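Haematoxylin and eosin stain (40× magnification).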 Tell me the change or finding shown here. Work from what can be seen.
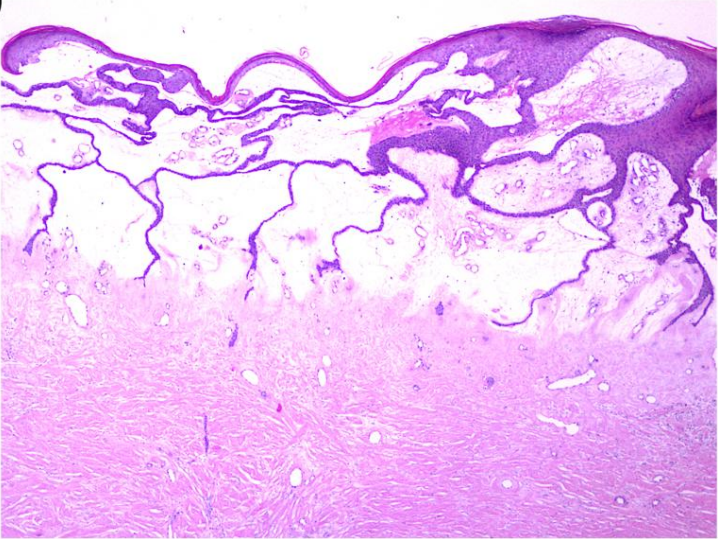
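A broad pale, almost empty band lies directly beneath the epidermis. The pale band is crossed by thin strands and clefts. Below the pale band the dermis is dense and pink. That points to this answer: intense oedema in the superficial dermis.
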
